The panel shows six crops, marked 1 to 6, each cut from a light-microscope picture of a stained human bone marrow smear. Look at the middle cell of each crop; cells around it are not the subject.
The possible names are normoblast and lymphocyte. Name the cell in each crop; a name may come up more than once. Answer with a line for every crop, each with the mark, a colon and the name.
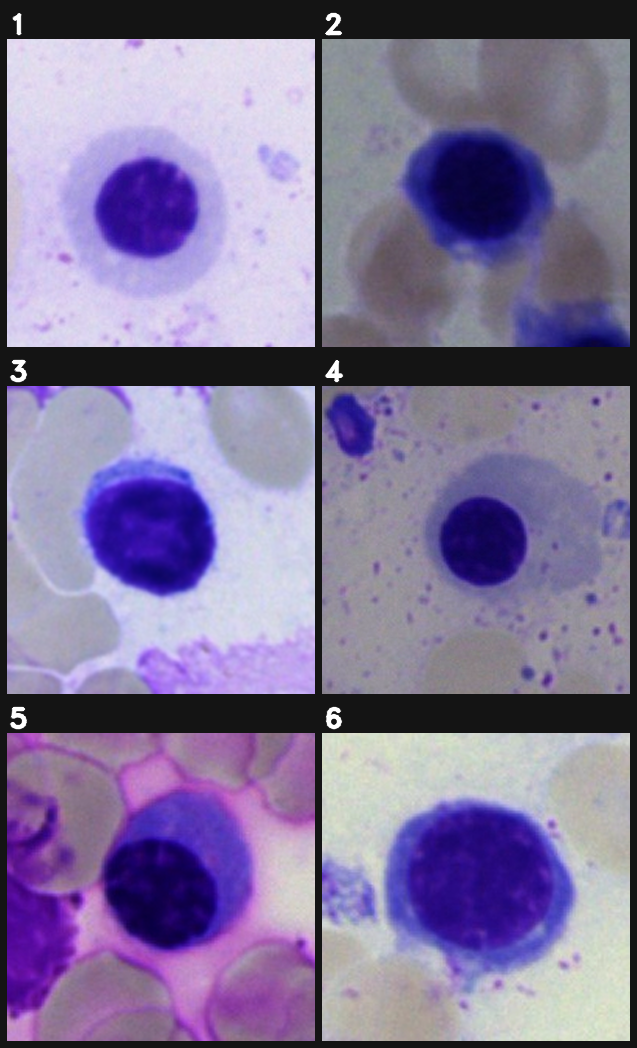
1: normoblast
2: normoblast
3: lymphocyte
4: normoblast
5: normoblast
6: normoblast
